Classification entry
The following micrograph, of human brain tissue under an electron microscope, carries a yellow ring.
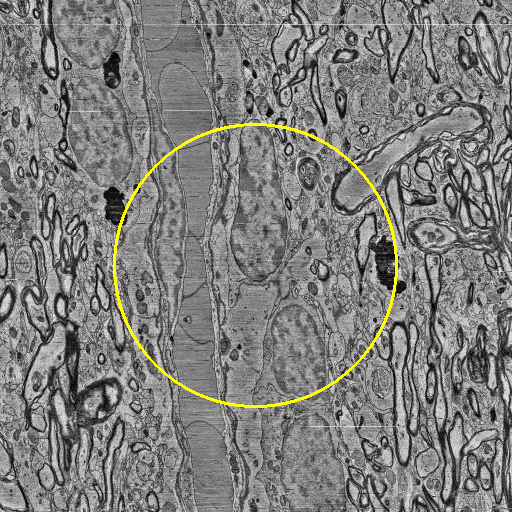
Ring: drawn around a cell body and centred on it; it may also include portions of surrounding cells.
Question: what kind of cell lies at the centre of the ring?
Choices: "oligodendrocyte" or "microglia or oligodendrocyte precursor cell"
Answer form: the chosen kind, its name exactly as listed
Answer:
microglia or oligodendrocyte precursor cell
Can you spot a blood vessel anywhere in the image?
Yes.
